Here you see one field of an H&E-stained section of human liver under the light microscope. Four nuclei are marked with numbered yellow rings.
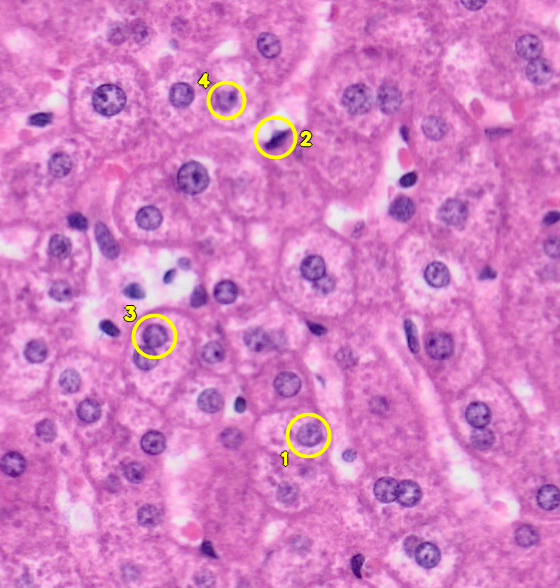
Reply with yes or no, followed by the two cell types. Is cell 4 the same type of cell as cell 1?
Yes, both are hepatocytes.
